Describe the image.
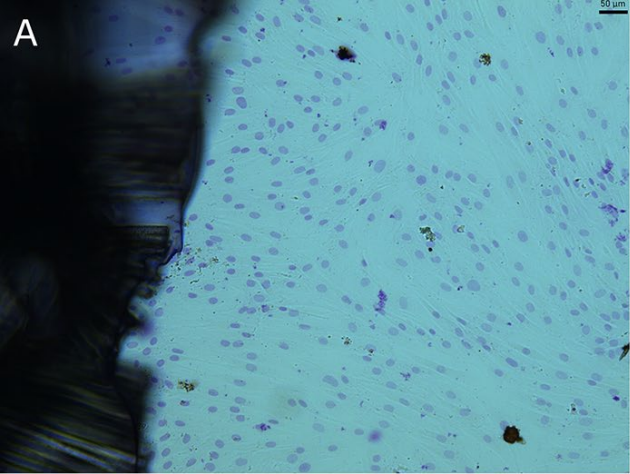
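The cells are elongated and spindle-shaped, with faint pale cytoplasm drawn out into long thin extensions, and they lie side by side in parallel, gently curving streams. Each cell has one oval, evenly pale purple nucleus without visible fragmentation. The layer is continuous and reaches right up to the irregular edge of a dark, striated piece of material at the left of the field. A few scattered brown or purple particles of debris lie on the surface, but rounded, detached or shrunken cells are not evident.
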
